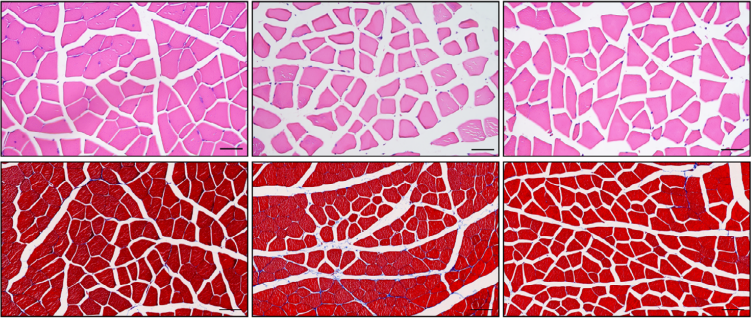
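Skeletal muscle cut across, showing muscle fibres as closely packed polygonal profiles of varying size. In the upper row the fibre cytoplasm stains evenly pink, and small dark purple-blue nuclei sit at the fibre edges. In the lower row the fibres stain deep red, while thin blue strands of connective tissue run in the narrow spaces between them. White gaps separate the fibres and outline groups of fibres. In the middle column the fibres look smaller and paler, with wider gaps between them, and more blue material lies between the fibres in the lower row.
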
